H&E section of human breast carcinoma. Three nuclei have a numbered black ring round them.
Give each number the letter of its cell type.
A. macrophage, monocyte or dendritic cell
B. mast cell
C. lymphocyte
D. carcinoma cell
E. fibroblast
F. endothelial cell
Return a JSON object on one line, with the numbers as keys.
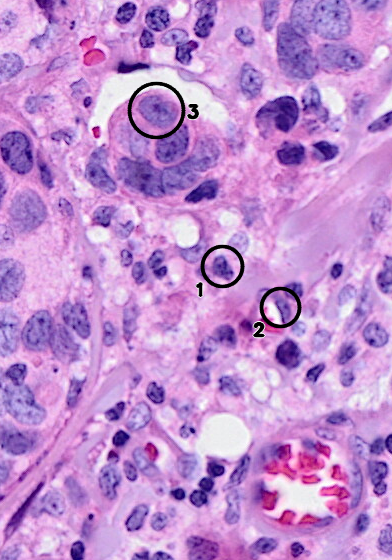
{"1": "C", "2": "F", "3": "D"}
